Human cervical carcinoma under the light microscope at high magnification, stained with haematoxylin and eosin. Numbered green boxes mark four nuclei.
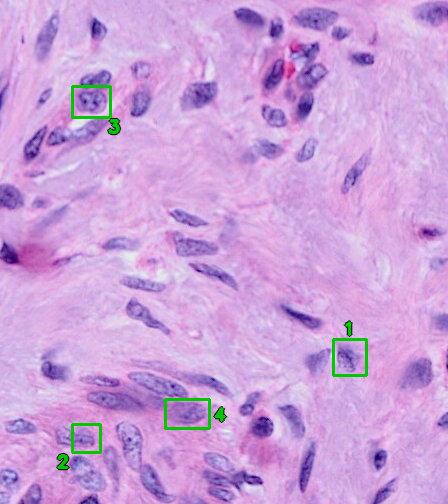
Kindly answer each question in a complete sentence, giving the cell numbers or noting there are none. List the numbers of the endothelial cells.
Only the cell marked 3 is an endothelial cell.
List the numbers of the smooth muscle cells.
The cells numbered 2 and 4 are of the kind known as smooth muscle cells.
